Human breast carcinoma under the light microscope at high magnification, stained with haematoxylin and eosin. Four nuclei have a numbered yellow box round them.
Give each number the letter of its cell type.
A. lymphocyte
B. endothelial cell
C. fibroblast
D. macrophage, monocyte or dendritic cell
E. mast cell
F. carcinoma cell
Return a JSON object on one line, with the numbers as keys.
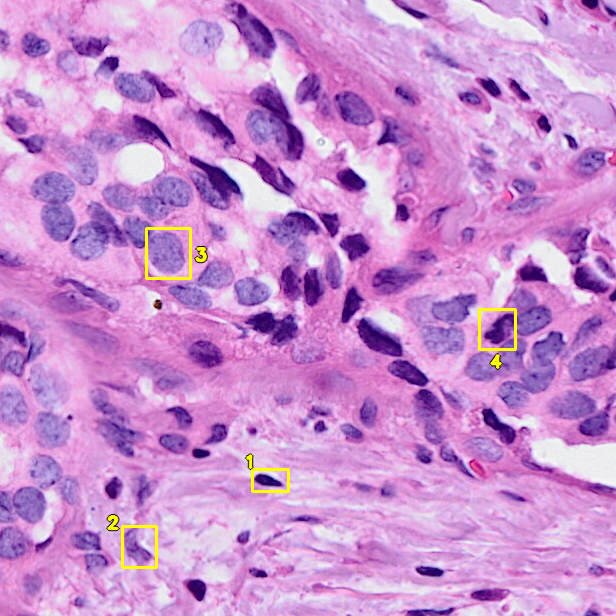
{"1": "A", "2": "C", "3": "F", "4": "F"}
